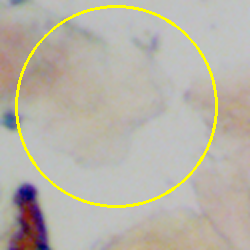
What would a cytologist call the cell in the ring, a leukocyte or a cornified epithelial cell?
A cytologist would call it a cornified epithelial cell.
